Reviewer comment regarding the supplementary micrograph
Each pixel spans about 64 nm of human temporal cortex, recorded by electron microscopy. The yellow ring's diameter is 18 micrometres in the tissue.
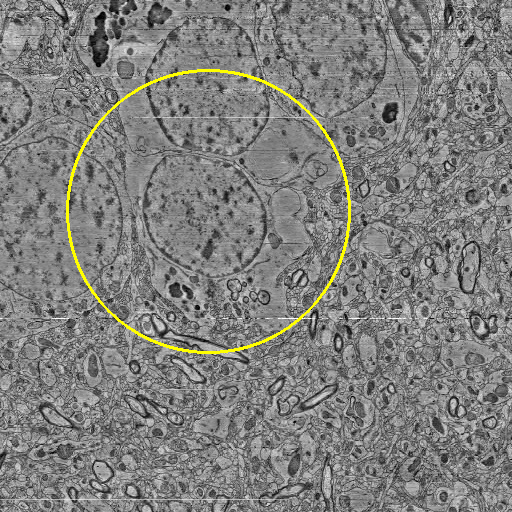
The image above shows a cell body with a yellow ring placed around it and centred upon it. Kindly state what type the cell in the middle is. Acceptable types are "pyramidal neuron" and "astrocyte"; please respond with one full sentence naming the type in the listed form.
In the image above, the cell on which the yellow ring is centred is an astrocyte.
